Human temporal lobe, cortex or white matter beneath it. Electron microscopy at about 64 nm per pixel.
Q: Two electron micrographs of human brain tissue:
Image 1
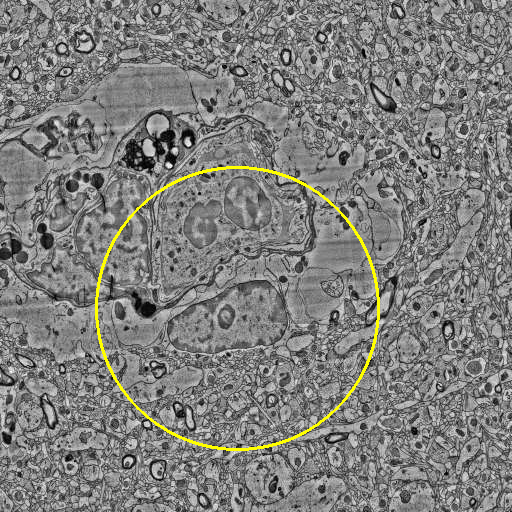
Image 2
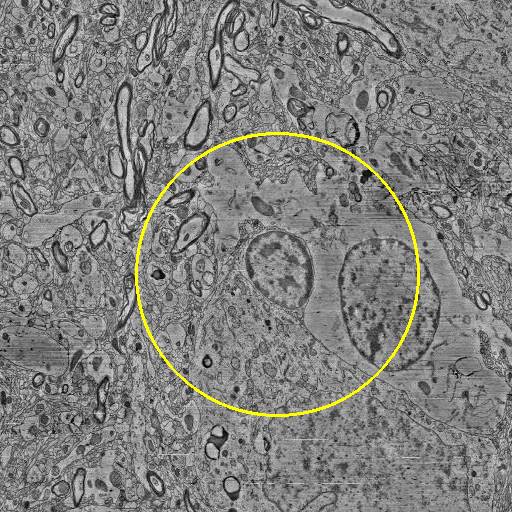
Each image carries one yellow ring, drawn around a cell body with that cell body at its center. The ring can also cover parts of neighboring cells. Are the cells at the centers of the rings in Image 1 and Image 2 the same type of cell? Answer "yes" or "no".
yes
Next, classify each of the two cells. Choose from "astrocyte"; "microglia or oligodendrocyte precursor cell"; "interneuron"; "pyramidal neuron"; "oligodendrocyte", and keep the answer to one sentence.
Each cell, in the first picture and the second, is a microglial cell or oligodendrocyte precursor cell.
